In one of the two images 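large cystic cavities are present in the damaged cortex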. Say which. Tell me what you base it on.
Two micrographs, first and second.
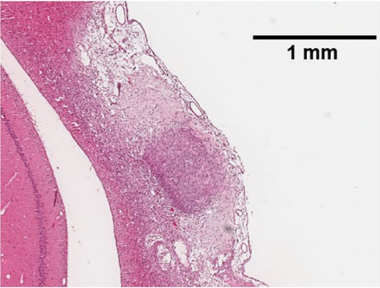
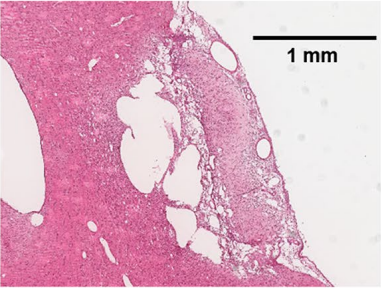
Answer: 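Second image: several large empty rounded spaces fill much of the lesion. First image: the lesion is mostly solid with only small vacuoles and vessels. That points to this answer: the second image.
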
